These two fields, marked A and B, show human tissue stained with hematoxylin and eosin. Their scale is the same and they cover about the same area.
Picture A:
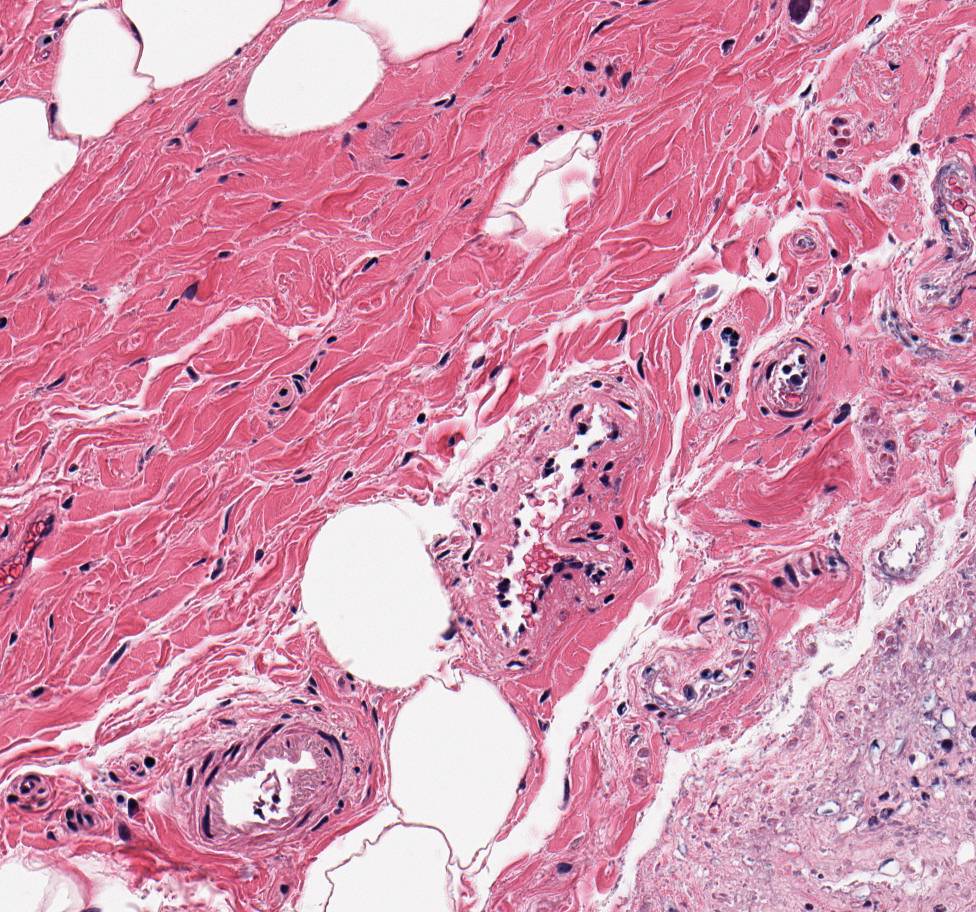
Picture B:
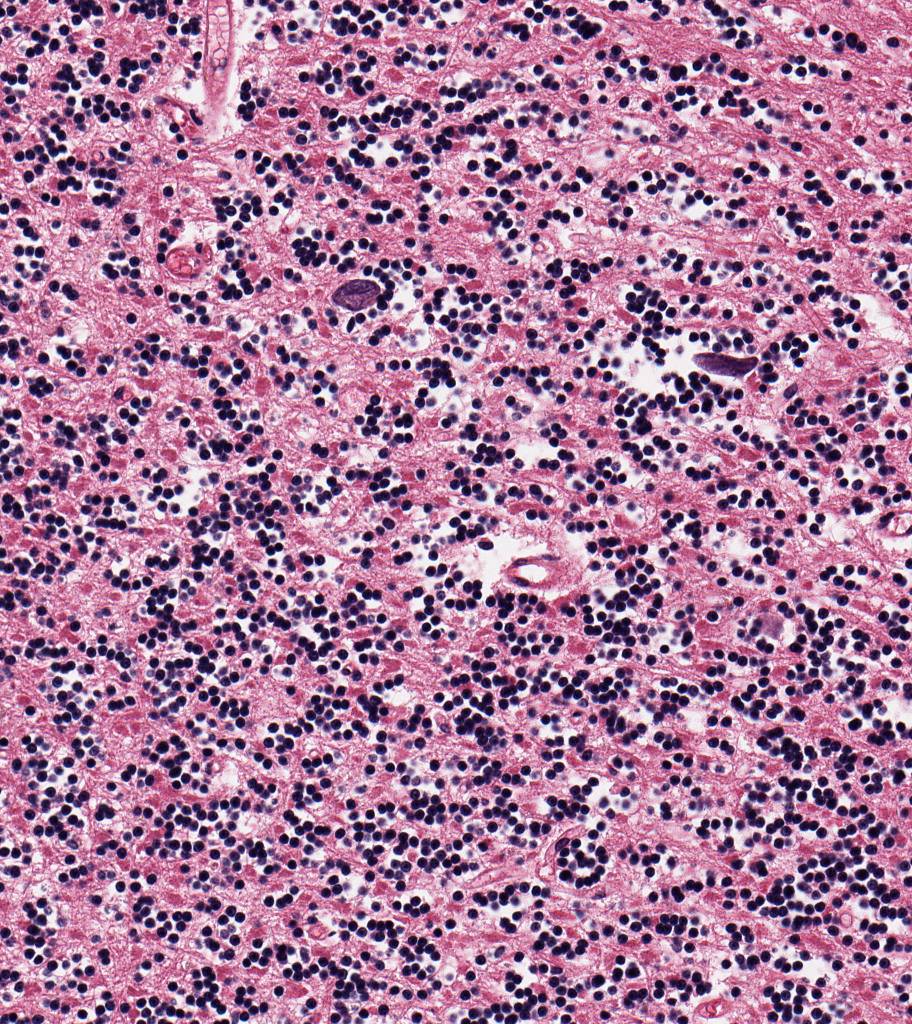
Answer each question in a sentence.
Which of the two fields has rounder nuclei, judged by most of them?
The nuclei are rounder in picture B.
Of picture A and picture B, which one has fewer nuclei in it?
Picture A holds fewer nuclei than picture B.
